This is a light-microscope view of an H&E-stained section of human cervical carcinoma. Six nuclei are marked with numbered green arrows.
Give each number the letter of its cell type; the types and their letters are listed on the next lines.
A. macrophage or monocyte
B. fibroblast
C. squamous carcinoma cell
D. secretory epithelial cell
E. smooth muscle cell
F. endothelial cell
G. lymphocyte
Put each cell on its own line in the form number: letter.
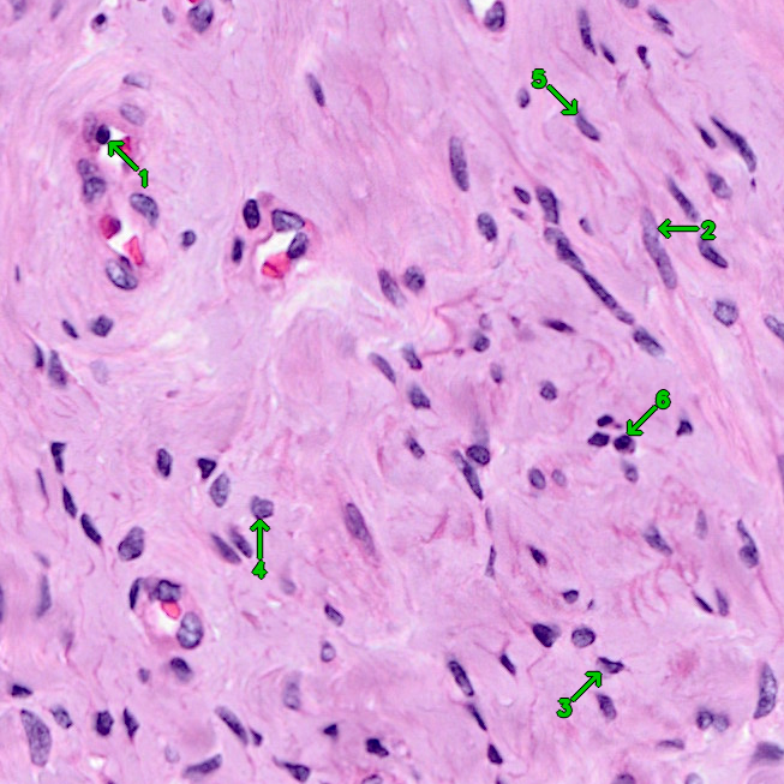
1: F
2: E
3: B
4: B
5: B
6: G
